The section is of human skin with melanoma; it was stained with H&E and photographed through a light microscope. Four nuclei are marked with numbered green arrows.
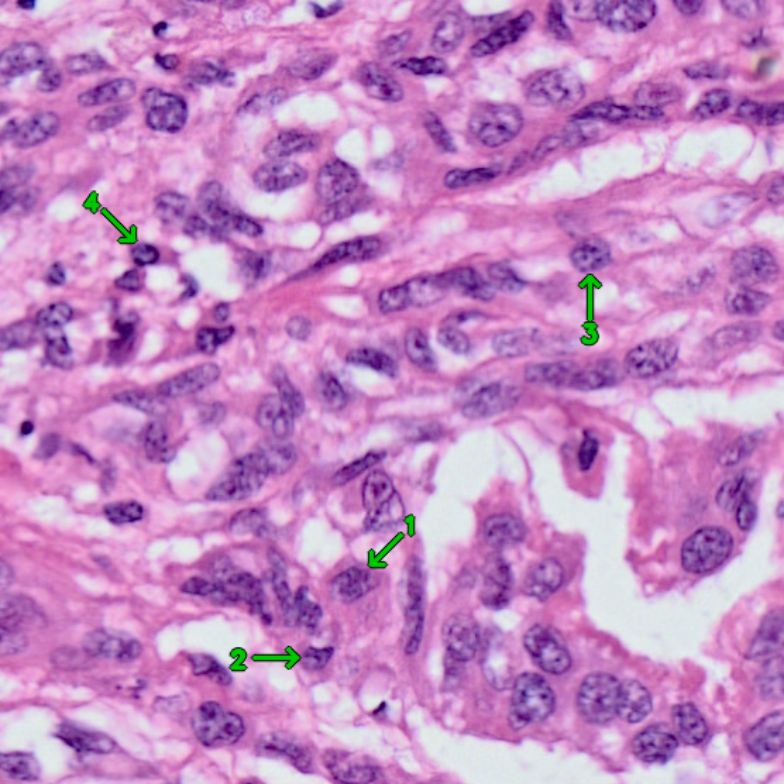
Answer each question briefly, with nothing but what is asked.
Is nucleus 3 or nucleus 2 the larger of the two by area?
3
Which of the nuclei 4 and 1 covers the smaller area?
4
